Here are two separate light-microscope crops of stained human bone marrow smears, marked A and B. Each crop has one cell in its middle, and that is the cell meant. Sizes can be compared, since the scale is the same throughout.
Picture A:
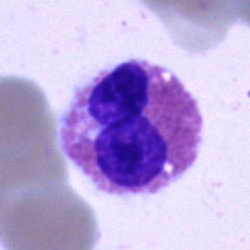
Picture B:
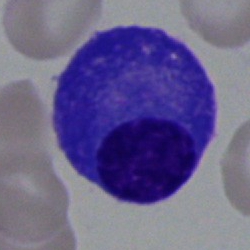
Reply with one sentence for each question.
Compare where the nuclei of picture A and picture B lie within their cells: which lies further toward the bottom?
Seen within its cell, the nucleus in picture B lies further toward the bottom.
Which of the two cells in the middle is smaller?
The cell in picture A is smaller; the one in picture B has about 1.5 times its area.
